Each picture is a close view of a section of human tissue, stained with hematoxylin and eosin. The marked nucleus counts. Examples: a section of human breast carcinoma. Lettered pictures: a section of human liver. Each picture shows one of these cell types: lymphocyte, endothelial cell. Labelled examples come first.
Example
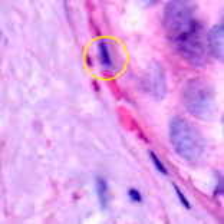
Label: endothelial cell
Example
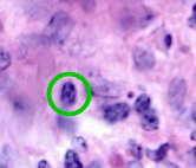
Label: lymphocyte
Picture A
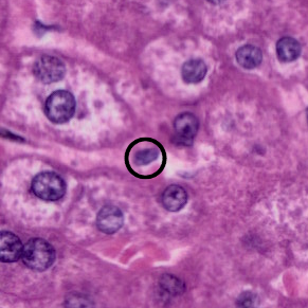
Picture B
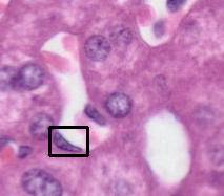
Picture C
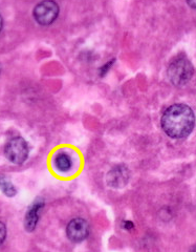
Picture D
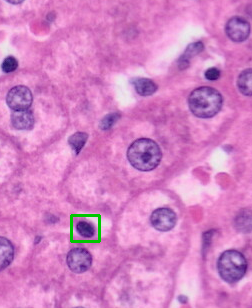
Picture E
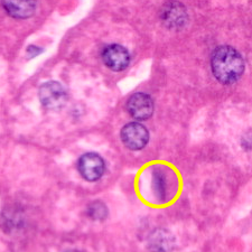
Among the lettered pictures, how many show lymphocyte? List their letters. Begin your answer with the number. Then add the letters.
3: A, C, D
